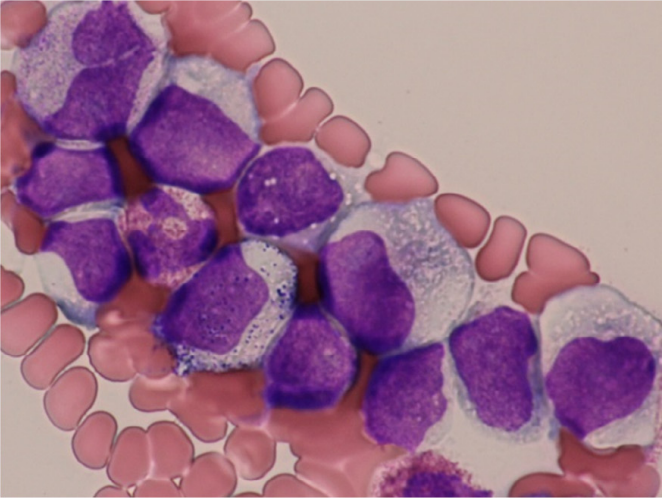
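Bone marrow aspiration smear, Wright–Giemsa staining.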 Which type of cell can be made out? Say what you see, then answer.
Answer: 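Blast cells. The large nucleated cells are much bigger than the surrounding red cells. The nuclei are large with fine, dispersed purple chromatin.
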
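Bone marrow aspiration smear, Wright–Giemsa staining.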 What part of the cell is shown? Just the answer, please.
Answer: Fine azurophilic granules.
